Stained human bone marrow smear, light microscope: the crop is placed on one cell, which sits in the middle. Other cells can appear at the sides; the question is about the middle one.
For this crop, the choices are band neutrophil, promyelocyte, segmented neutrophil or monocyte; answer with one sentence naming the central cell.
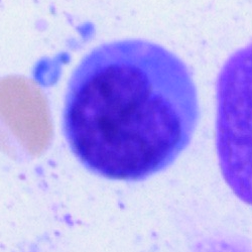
As for the cell in the middle, it is a monocyte.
